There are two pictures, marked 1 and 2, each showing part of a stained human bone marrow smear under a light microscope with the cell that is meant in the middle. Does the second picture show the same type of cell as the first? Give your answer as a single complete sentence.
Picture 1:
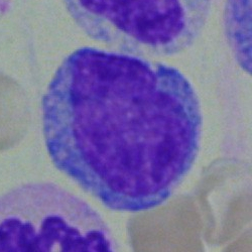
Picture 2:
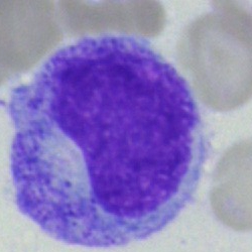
No, the types are not the same, since picture 1 shows a blast and picture 2 a promyelocyte.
